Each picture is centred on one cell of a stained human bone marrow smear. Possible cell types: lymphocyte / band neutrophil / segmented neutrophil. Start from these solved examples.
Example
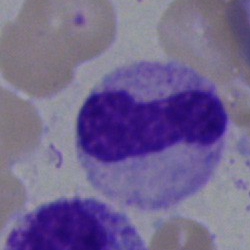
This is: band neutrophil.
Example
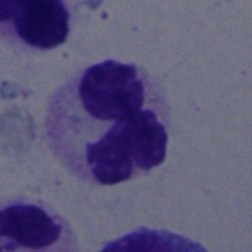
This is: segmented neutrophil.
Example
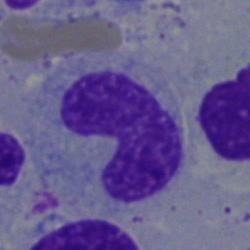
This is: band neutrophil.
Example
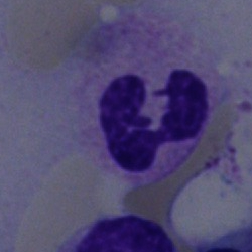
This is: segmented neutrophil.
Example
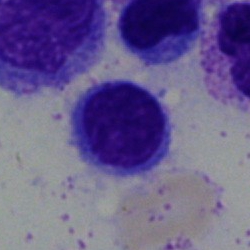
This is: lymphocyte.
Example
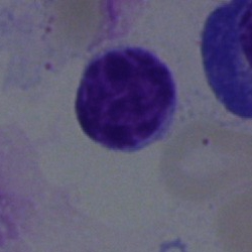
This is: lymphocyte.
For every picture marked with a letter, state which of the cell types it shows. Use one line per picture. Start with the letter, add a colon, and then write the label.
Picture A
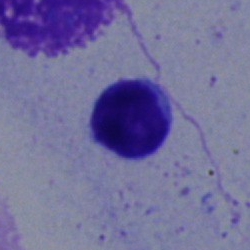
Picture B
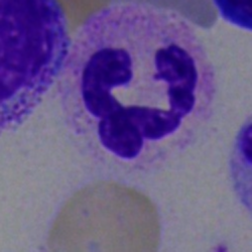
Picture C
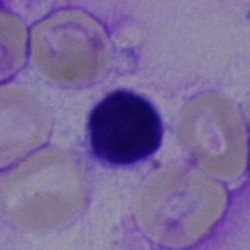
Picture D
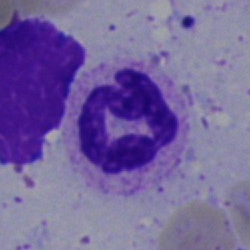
A: lymphocyte.
B: segmented neutrophil.
C: lymphocyte.
D: segmented neutrophil.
